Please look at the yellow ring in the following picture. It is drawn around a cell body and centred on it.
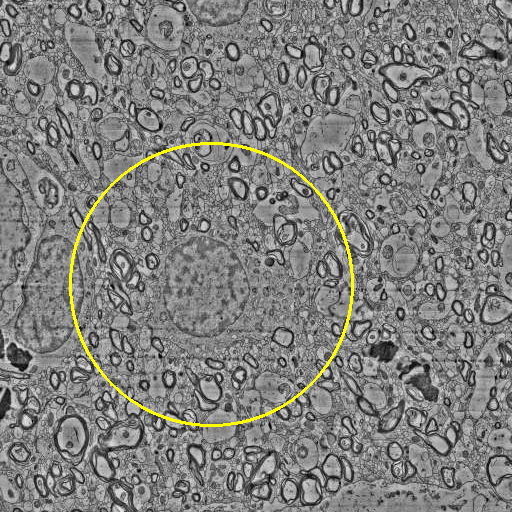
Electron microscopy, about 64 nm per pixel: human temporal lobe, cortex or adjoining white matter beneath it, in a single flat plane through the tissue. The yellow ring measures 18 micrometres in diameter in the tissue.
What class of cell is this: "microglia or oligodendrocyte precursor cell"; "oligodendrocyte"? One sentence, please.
The ring surrounds the cell body of an oligodendrocyte.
